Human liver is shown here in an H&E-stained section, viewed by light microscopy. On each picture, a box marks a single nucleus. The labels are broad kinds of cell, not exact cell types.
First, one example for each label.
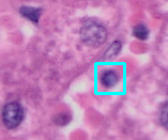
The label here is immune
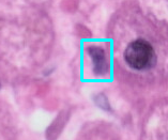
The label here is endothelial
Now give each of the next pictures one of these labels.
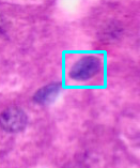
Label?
endothelial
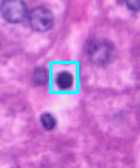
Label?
immune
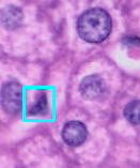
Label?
endothelial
